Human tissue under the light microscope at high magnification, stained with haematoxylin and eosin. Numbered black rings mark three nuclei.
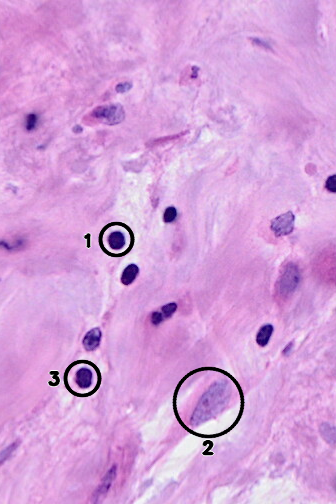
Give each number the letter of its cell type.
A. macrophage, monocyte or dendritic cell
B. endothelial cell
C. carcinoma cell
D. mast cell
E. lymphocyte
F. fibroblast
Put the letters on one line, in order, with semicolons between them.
E; F; E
